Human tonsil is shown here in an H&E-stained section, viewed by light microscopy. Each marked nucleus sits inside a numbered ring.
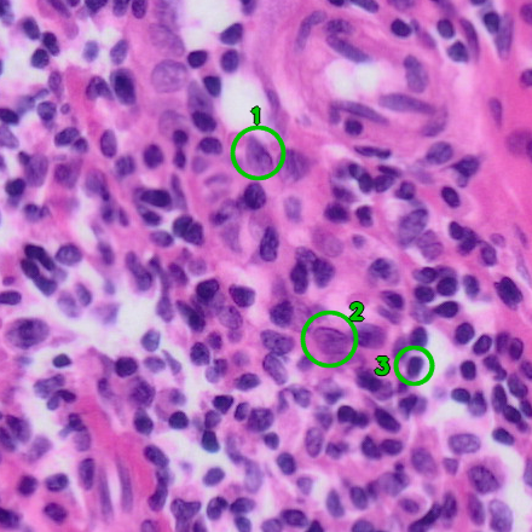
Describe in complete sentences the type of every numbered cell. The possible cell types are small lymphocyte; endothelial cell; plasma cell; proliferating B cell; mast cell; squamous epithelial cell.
Cell 1 is an endothelial cell, cell 2 is an endothelial cell and cell 3 is a small lymphocyte.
